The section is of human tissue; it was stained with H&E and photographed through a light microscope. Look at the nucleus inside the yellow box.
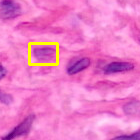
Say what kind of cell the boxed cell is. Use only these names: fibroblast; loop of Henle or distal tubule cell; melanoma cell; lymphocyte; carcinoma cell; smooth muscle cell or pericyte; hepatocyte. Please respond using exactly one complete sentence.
It is a smooth muscle cell or pericyte that the boxed cell represents.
